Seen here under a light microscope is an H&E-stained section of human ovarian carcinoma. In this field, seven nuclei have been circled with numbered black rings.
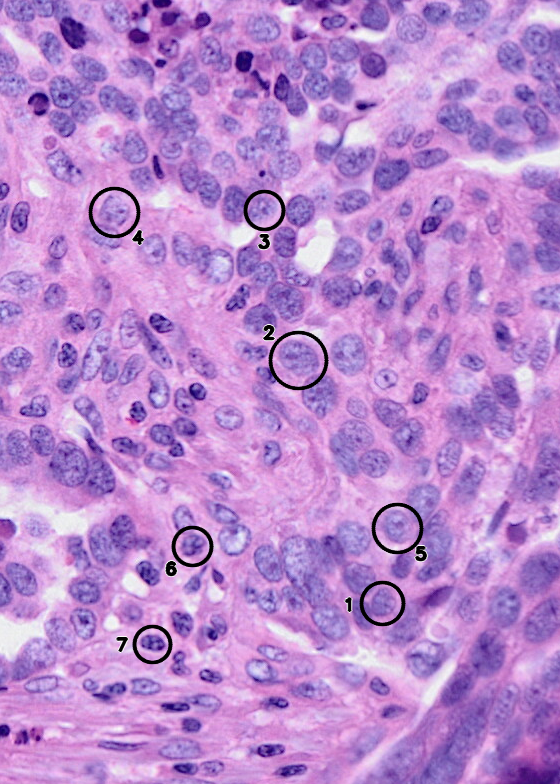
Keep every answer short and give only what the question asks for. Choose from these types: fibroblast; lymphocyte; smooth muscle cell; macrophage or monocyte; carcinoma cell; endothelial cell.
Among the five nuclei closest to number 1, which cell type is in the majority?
carcinoma cell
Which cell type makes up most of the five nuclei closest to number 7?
macrophage or monocyte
